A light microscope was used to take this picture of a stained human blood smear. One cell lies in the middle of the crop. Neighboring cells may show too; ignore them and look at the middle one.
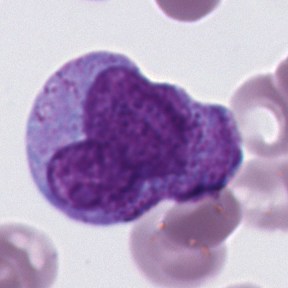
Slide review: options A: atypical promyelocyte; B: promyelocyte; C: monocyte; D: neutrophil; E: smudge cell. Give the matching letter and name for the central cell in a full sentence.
Well, the cell in the middle is an atypical promyelocyte, making option A right.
